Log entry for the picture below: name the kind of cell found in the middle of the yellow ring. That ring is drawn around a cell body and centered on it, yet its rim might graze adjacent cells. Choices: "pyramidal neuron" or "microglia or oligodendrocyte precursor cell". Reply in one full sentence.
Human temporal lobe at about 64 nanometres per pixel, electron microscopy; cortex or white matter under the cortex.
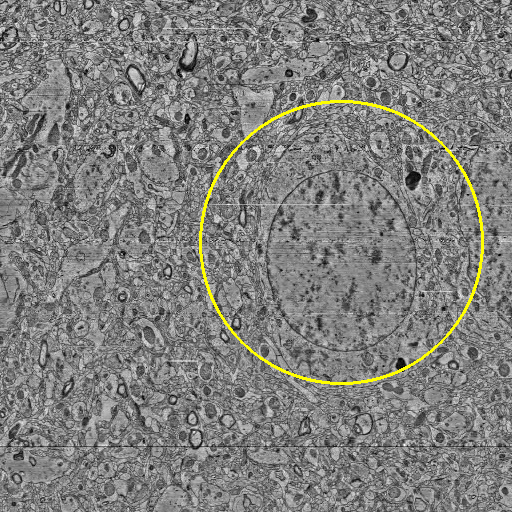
The cell in the middle of the yellow ring in this picture is a pyramidal neuron.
